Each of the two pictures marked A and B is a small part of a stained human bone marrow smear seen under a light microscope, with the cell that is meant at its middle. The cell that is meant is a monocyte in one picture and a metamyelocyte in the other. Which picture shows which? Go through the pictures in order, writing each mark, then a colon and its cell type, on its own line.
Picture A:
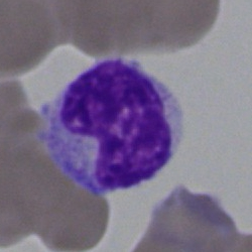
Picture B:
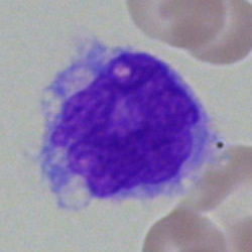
A: metamyelocyte
B: monocyte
